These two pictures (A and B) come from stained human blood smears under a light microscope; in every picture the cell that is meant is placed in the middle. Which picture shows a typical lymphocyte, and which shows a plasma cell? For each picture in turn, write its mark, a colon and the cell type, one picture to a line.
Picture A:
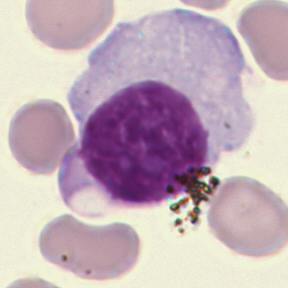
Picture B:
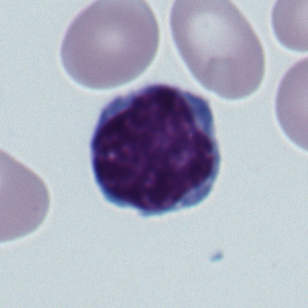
A: plasma cell
B: typical lymphocyte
